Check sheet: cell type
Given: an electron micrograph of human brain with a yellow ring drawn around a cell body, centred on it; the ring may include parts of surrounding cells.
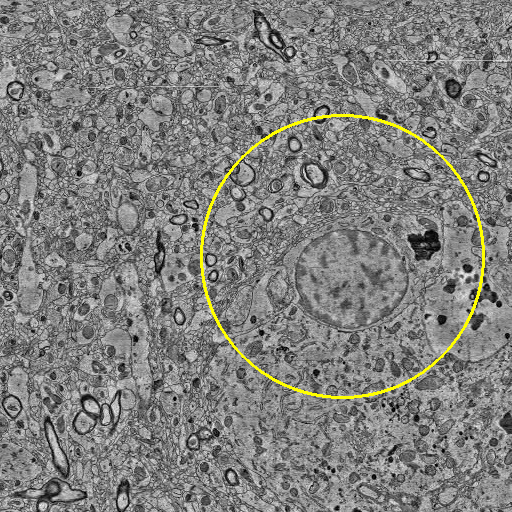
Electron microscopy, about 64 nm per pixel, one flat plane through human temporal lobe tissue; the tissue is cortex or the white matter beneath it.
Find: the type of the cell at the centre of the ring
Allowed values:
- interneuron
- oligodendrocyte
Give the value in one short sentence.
Here the ringed cell is an oligodendrocyte.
